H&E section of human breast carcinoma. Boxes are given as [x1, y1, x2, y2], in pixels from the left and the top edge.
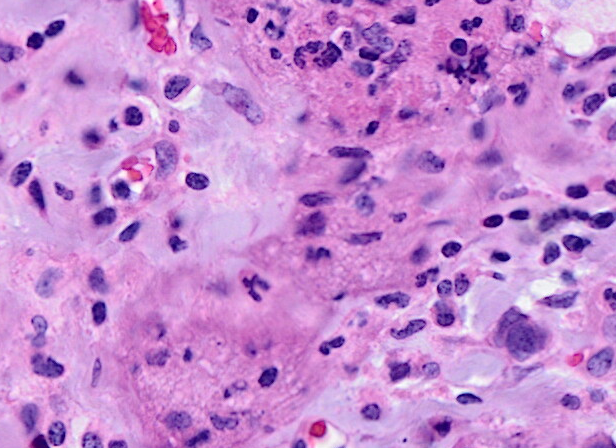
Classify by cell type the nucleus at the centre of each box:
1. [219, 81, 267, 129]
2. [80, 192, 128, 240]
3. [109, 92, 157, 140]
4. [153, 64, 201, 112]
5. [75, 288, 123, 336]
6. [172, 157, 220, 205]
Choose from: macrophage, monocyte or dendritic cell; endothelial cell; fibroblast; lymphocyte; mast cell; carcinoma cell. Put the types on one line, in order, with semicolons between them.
fibroblast; lymphocyte; mast cell; mast cell; lymphocyte; lymphocyte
